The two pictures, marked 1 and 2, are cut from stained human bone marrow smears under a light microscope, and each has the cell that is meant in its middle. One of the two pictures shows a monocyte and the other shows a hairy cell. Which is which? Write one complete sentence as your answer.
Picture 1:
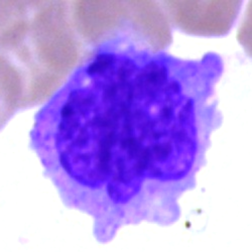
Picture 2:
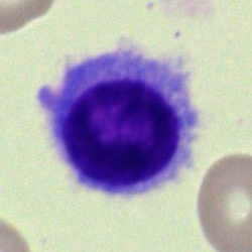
Picture 2 shows a hairy cell, while picture 1 shows a monocyte.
